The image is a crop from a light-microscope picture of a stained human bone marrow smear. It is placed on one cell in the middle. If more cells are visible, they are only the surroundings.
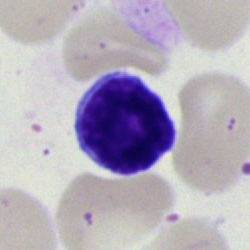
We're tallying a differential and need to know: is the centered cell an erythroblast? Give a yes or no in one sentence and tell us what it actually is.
No, the cell located centrally is a lymphocyte rather than an erythroblast.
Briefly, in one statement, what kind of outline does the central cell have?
The outline traces a smooth curve with no projections along it.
